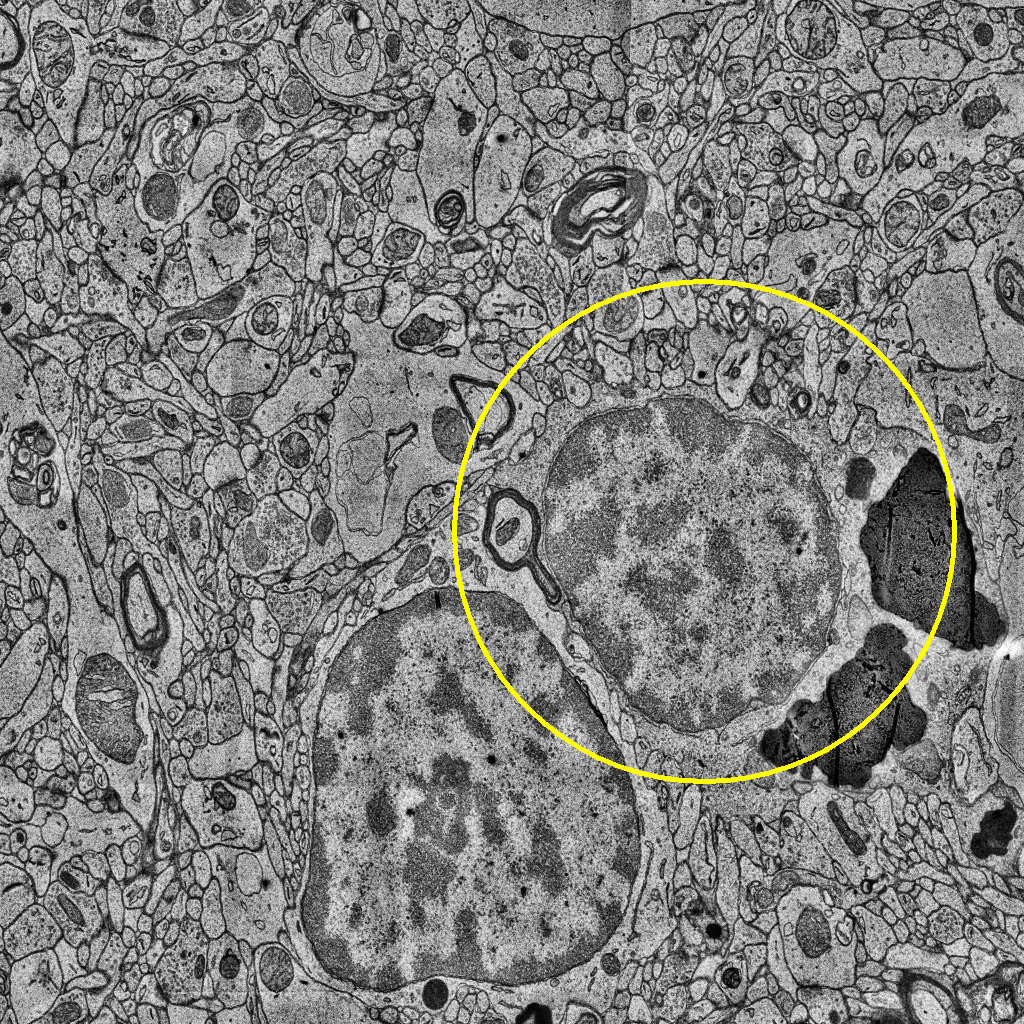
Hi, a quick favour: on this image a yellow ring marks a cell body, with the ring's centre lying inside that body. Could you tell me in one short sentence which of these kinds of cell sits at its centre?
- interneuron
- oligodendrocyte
The ring's centre lies in an oligodendrocyte.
